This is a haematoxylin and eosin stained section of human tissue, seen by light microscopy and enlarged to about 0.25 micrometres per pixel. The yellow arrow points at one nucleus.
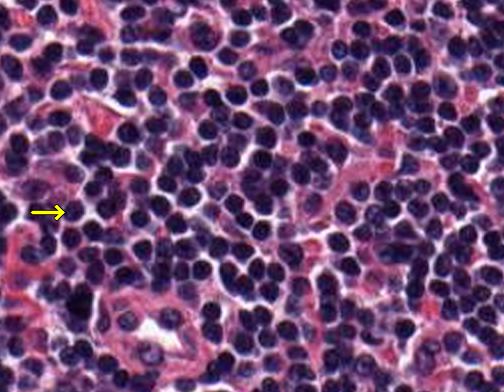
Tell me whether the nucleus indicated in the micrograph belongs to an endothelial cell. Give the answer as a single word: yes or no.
no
